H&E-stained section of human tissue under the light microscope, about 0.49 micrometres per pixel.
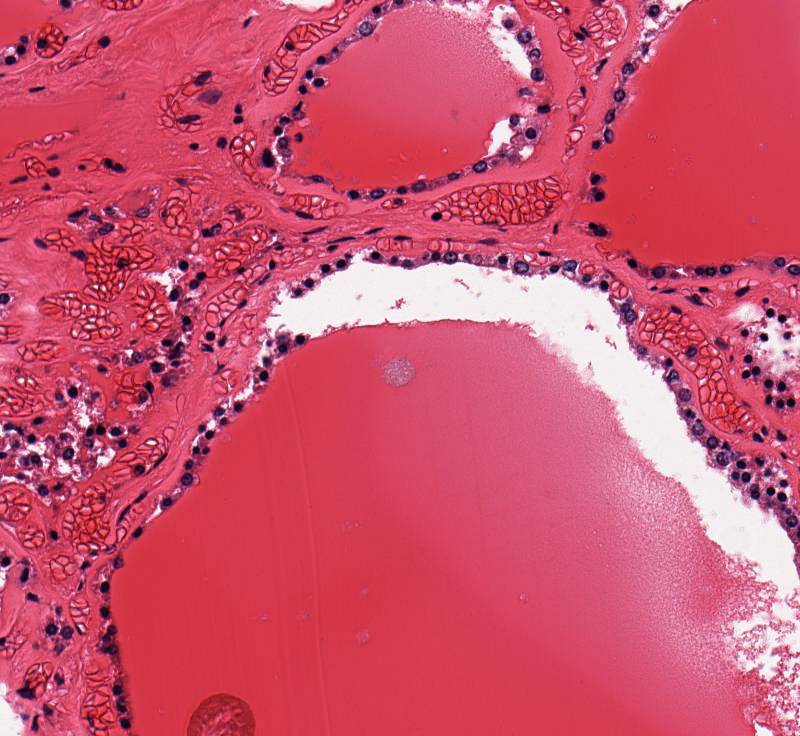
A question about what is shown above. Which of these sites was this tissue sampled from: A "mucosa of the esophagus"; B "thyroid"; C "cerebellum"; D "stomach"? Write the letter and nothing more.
B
